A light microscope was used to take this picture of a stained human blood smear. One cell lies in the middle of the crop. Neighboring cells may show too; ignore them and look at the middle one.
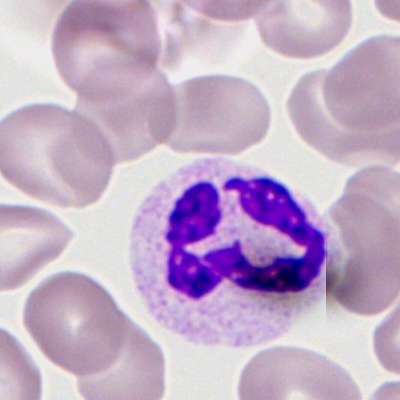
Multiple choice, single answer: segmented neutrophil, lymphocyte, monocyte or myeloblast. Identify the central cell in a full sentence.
On this slide crop, the central cell is a segmented neutrophil.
